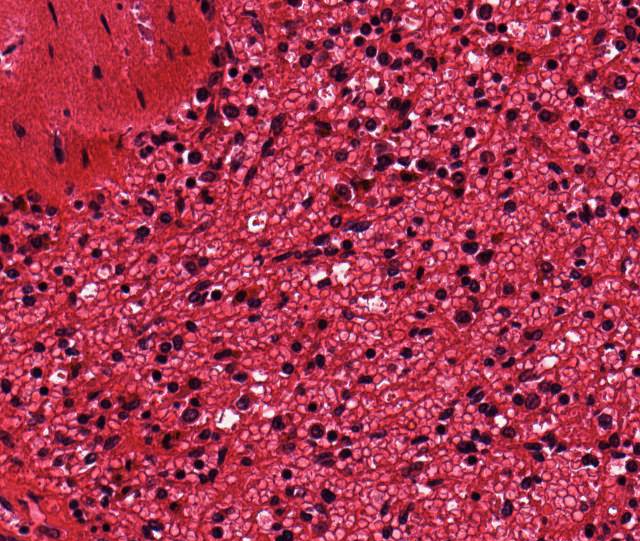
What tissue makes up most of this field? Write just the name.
red pulp of the spleen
